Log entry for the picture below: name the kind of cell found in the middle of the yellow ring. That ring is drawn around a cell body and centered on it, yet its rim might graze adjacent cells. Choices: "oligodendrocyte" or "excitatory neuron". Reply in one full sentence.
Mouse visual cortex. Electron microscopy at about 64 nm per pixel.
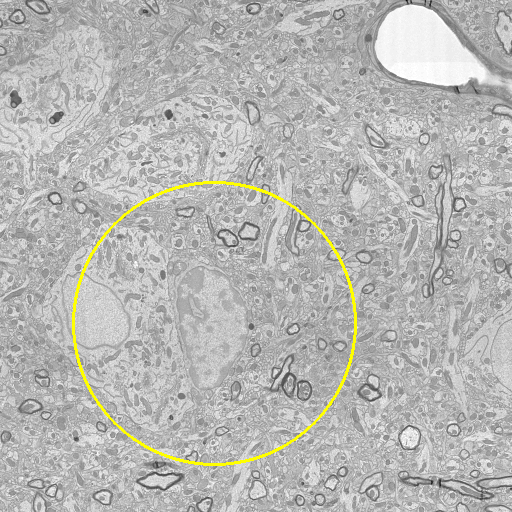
The cell in the middle of the yellow ring in this picture is an oligodendrocyte.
